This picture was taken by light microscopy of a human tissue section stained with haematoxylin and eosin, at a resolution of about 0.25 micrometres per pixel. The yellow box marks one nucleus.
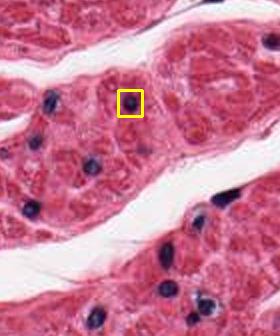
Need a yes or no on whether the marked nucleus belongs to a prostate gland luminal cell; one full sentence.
No, the marked nucleus is not that of a prostate gland luminal cell.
